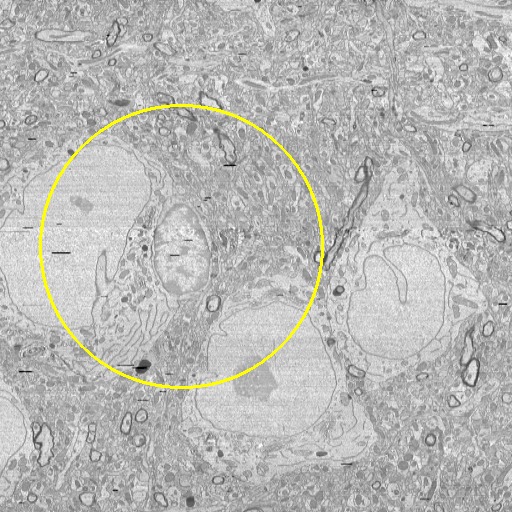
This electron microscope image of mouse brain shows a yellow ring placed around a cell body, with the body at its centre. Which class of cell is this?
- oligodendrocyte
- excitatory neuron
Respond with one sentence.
The cell body at the ring's centre is an oligodendrocyte.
